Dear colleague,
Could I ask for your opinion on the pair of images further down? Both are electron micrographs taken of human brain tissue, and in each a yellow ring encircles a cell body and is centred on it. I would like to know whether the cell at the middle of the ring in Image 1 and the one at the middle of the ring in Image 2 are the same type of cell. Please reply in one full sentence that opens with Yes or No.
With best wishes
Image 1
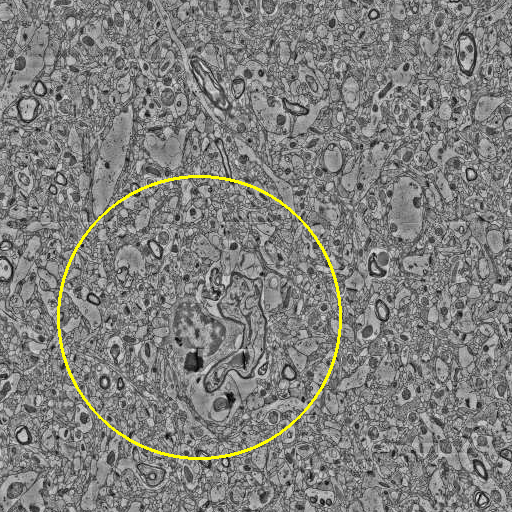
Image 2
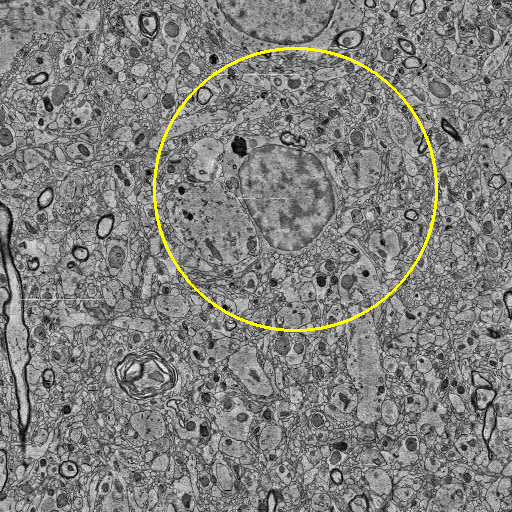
Yes, the cells at the ring centres in Image 1 and Image 2 are of one type.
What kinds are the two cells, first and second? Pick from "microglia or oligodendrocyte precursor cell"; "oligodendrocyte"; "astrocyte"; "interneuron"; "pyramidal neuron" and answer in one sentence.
In the first picture and in the second, the ring is centred on an oligodendrocyte.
